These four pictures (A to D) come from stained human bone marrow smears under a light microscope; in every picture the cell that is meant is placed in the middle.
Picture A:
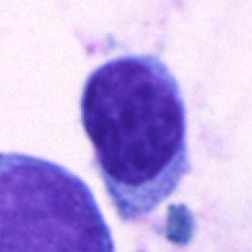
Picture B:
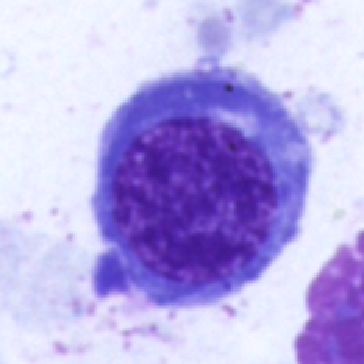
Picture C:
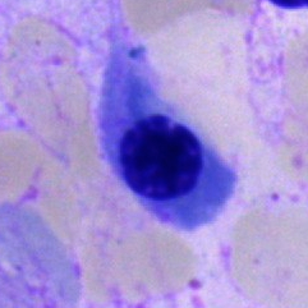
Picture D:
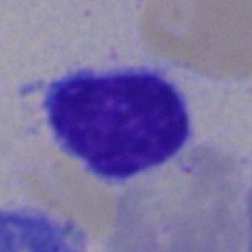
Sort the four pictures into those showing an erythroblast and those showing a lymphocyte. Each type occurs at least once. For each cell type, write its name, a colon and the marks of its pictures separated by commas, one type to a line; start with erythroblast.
erythroblast: B, C
lymphocyte: A, D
